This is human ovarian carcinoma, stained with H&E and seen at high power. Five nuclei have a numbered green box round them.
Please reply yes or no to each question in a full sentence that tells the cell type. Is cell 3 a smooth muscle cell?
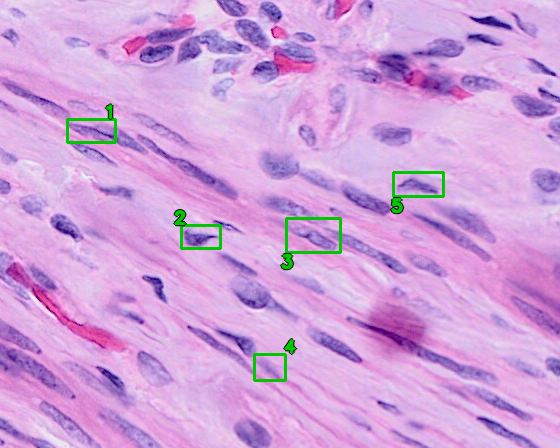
Yes, the cell with number 3 is a smooth muscle cell.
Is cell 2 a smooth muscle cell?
No, not a smooth muscle cell: the cell with number 2 is a fibroblast.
